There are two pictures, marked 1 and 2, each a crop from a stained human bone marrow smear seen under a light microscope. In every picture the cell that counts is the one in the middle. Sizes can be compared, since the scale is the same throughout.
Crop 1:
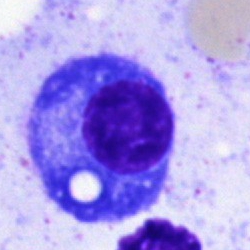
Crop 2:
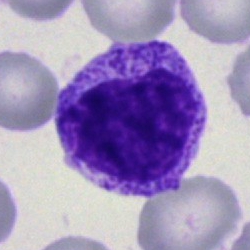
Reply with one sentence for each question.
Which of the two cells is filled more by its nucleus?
Of the two, the nucleus in crop 2 makes up the greater part of its cell.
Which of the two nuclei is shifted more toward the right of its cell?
It is the nucleus in crop 1 that lies further toward the right of its cell.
